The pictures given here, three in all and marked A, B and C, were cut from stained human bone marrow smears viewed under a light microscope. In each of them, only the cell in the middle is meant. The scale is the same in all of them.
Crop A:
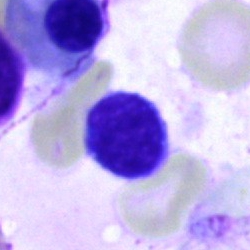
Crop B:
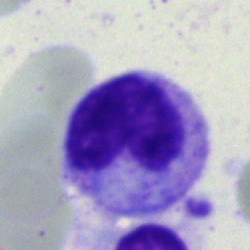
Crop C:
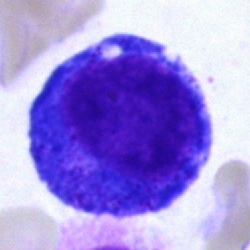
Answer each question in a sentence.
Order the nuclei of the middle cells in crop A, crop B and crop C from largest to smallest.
Going down, they run C, B, A.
